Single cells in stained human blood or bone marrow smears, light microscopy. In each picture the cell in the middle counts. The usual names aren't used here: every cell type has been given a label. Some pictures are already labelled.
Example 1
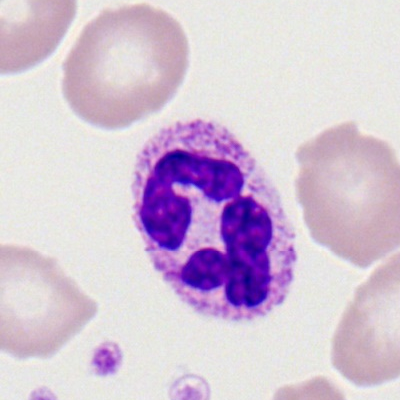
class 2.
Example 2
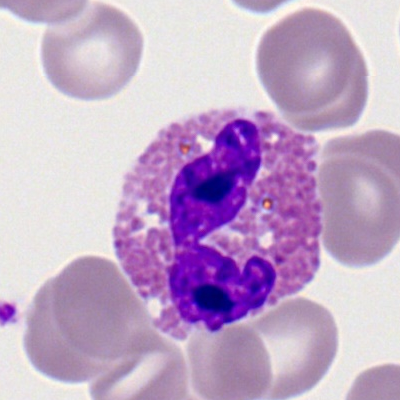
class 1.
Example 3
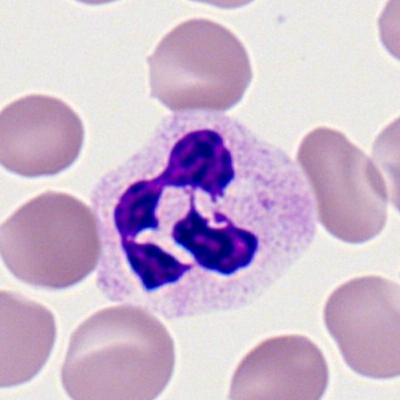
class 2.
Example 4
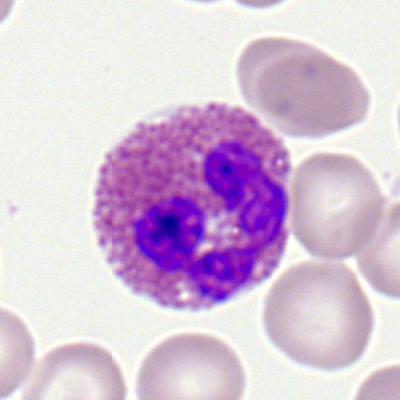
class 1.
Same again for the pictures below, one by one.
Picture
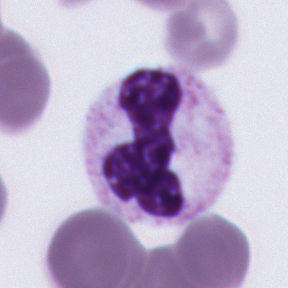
class 2.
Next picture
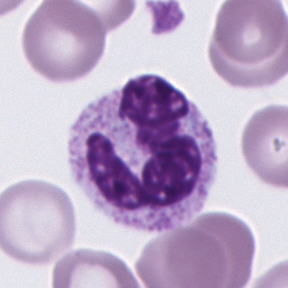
class 2.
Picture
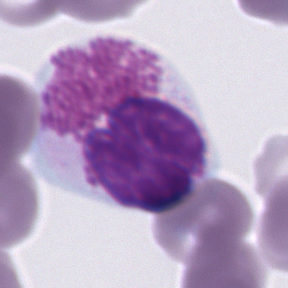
class 1.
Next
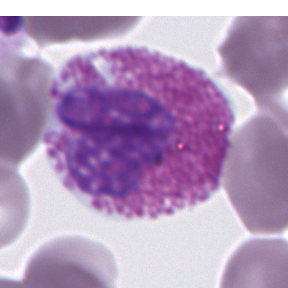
class 1.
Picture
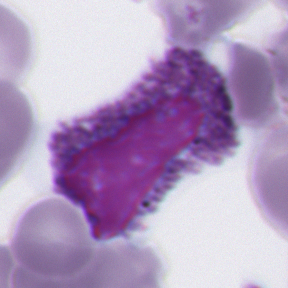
class 1.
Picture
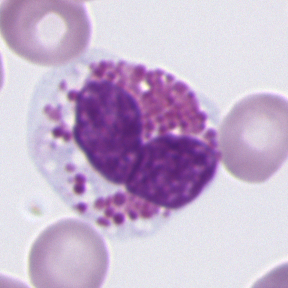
class 1.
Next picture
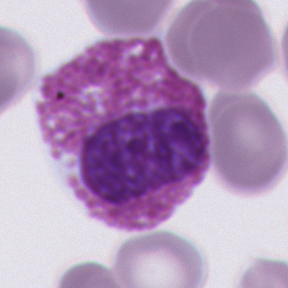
class 1.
